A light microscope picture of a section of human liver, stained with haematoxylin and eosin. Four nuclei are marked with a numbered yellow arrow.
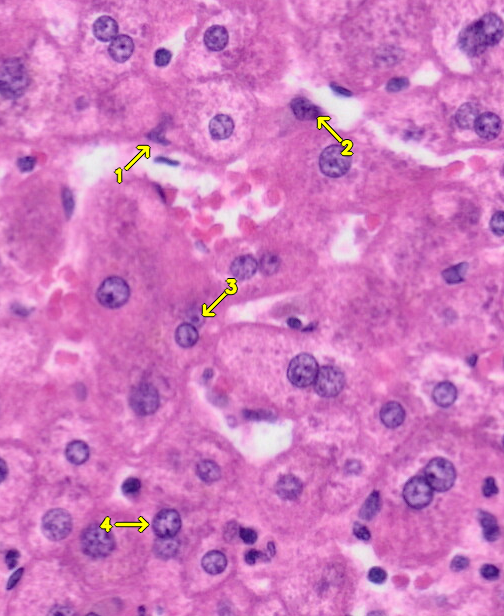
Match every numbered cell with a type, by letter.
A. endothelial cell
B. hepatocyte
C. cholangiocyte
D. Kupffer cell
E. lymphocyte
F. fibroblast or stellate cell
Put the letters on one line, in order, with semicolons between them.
F; D; B; B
